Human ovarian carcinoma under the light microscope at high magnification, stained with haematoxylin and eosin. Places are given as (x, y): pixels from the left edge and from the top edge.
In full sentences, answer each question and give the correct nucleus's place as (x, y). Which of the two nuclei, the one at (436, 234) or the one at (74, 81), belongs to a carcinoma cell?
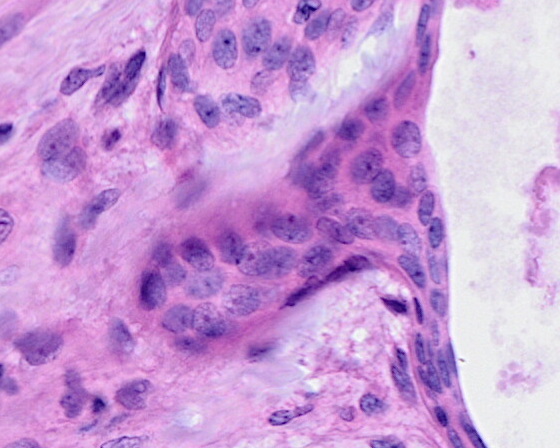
Lying within a carcinoma cell is the nucleus at (436, 234).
